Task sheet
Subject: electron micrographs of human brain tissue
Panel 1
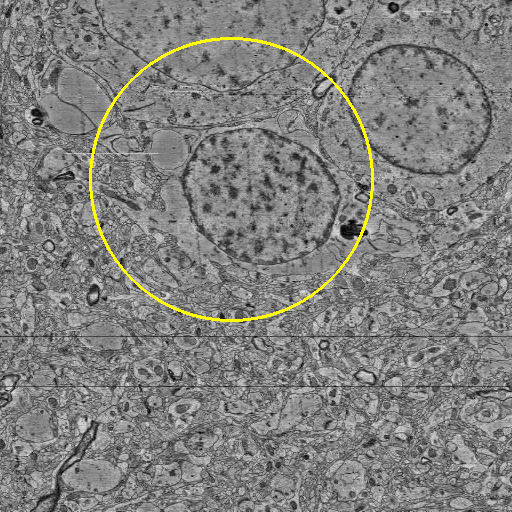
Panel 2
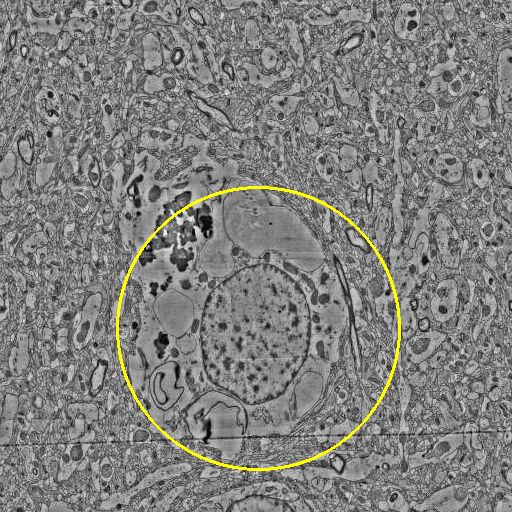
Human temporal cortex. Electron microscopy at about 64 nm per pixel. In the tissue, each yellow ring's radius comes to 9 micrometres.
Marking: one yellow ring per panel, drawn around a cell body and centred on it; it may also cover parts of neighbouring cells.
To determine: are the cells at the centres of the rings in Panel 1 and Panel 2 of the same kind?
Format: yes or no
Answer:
yes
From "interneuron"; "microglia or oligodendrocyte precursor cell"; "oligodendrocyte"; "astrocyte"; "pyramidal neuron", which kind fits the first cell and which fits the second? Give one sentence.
Each of the two pictures has an astrocyte at the ring centre.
